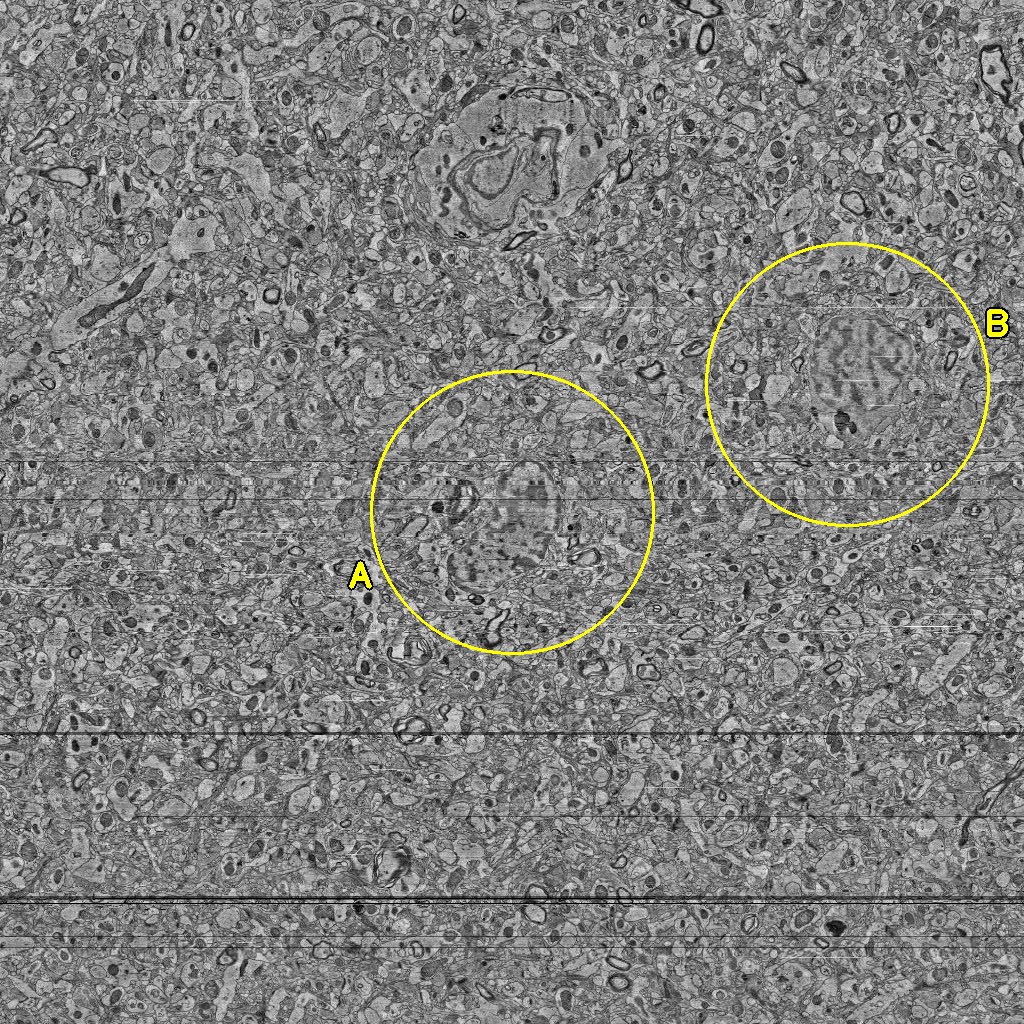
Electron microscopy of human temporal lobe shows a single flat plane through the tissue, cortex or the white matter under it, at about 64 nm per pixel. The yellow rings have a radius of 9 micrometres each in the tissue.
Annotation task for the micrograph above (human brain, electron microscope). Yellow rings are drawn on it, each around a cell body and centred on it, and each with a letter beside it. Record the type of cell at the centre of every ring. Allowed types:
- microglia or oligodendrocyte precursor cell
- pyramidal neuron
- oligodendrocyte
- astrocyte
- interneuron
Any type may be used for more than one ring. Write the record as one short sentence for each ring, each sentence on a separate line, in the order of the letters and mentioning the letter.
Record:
The cell centred in ring A is a microglial cell or oligodendrocyte precursor cell.
The cell centred in ring B is an oligodendrocyte.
